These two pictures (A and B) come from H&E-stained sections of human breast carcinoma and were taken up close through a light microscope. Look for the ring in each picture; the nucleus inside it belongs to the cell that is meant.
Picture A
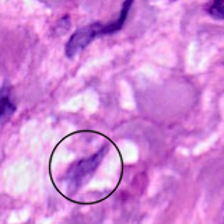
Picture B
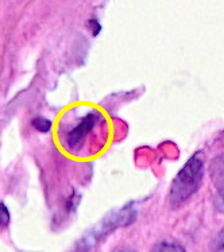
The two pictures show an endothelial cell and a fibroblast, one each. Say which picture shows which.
A: fibroblast
B: endothelial cell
